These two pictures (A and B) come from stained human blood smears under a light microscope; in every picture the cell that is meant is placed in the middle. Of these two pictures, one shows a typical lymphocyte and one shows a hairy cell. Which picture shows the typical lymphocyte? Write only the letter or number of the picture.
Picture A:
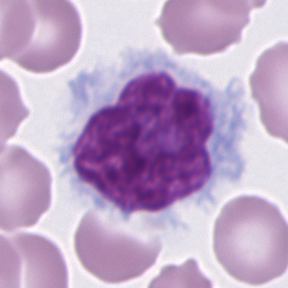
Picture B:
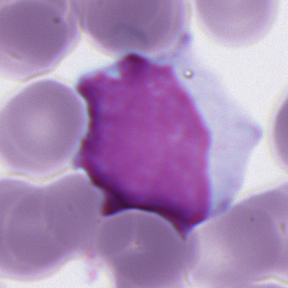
B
